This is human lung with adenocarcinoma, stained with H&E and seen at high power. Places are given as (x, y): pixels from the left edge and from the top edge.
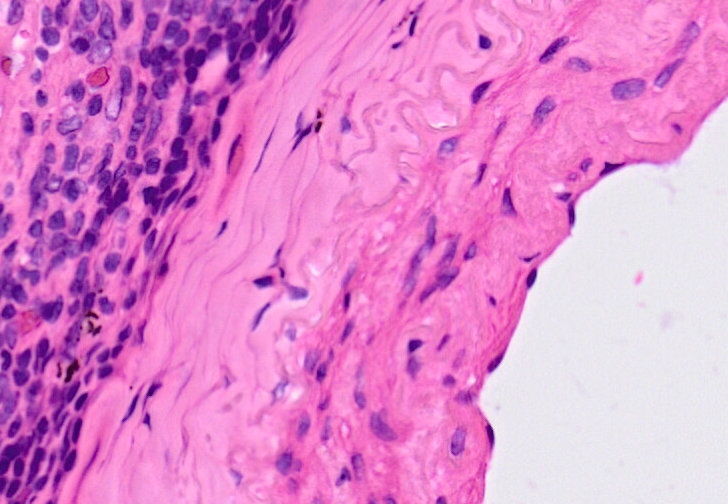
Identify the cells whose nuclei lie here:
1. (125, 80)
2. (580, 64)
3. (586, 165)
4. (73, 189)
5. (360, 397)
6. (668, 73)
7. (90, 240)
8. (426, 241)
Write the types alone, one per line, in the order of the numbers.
lymphocyte
smooth muscle cell or pericyte
smooth muscle cell or pericyte
lymphocyte
smooth muscle cell or pericyte
smooth muscle cell or pericyte
lymphocyte
smooth muscle cell or pericyte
